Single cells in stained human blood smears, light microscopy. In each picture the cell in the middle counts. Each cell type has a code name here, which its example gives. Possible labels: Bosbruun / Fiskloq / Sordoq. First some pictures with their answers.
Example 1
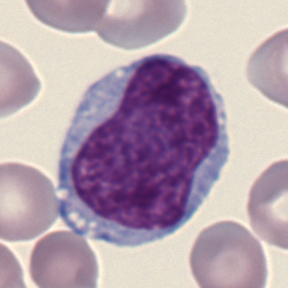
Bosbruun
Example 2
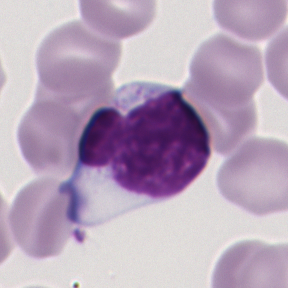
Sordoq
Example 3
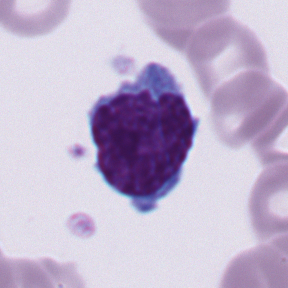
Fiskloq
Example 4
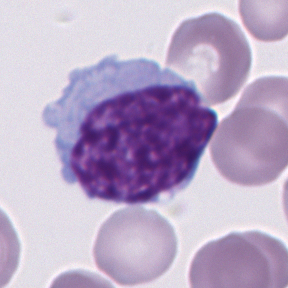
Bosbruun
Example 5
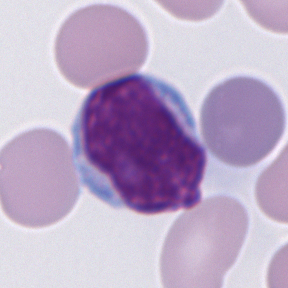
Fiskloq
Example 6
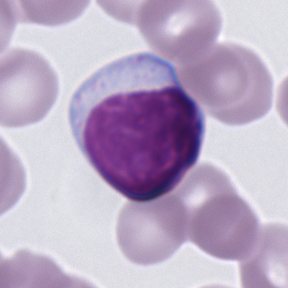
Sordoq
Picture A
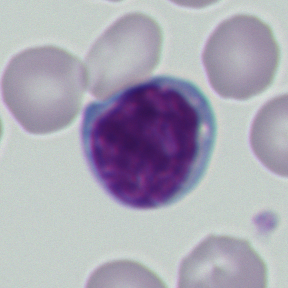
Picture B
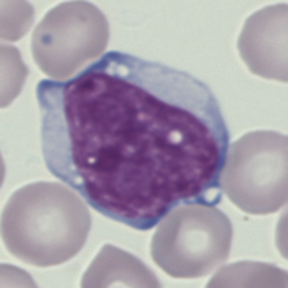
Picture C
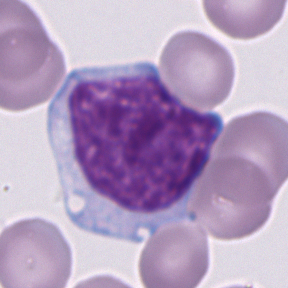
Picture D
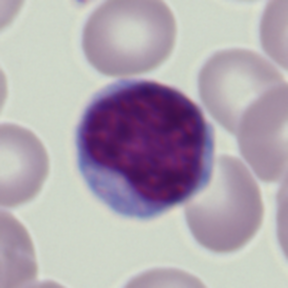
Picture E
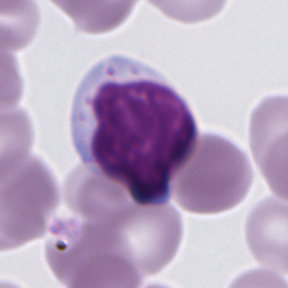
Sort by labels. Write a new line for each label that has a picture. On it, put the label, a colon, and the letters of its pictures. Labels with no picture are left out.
Bosbruun: B, C
Fiskloq: A, D
Sordoq: E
